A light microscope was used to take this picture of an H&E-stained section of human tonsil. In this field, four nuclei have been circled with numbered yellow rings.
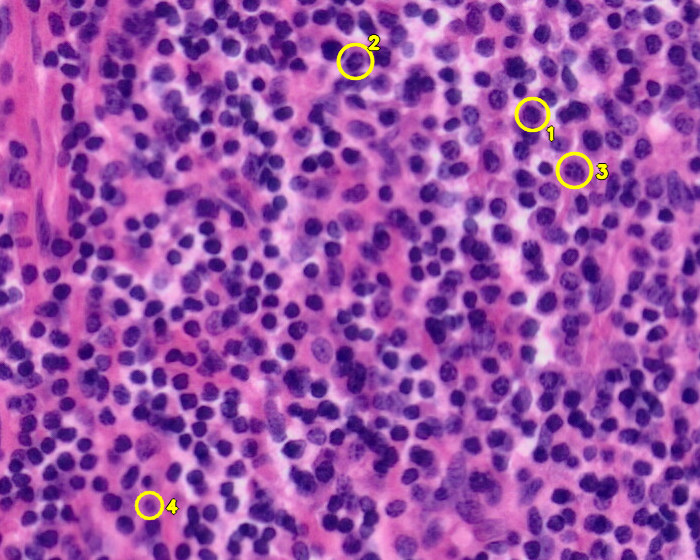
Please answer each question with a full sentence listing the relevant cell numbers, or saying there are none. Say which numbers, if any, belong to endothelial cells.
Only the cell with the number 4 is an endothelial cell.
